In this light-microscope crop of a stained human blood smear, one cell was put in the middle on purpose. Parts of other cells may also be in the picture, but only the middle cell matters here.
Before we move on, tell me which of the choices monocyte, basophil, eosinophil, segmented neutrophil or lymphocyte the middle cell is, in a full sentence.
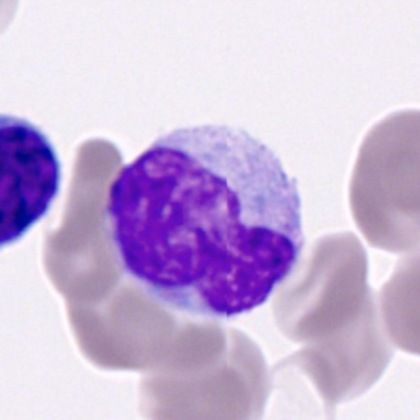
In the middle of this smear crop is a monocyte.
